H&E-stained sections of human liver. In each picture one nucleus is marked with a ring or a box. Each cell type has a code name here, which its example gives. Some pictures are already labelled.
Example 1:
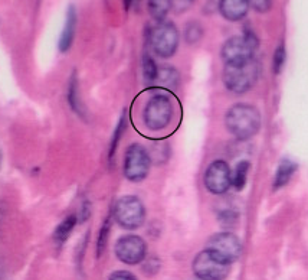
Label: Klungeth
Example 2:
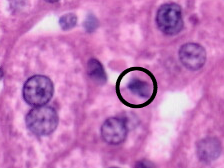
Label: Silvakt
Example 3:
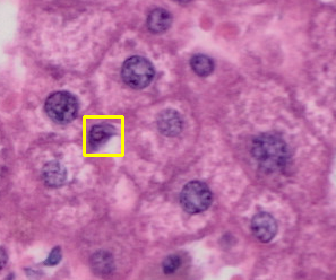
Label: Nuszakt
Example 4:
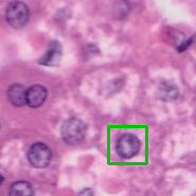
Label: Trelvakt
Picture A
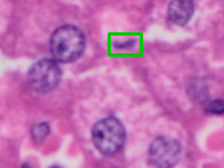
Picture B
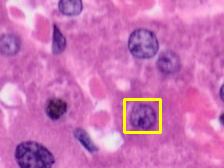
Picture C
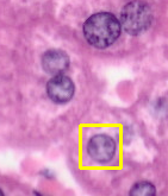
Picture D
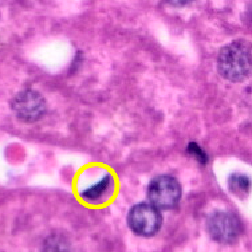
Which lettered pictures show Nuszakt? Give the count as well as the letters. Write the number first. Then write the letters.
Count: 2 (A, D)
